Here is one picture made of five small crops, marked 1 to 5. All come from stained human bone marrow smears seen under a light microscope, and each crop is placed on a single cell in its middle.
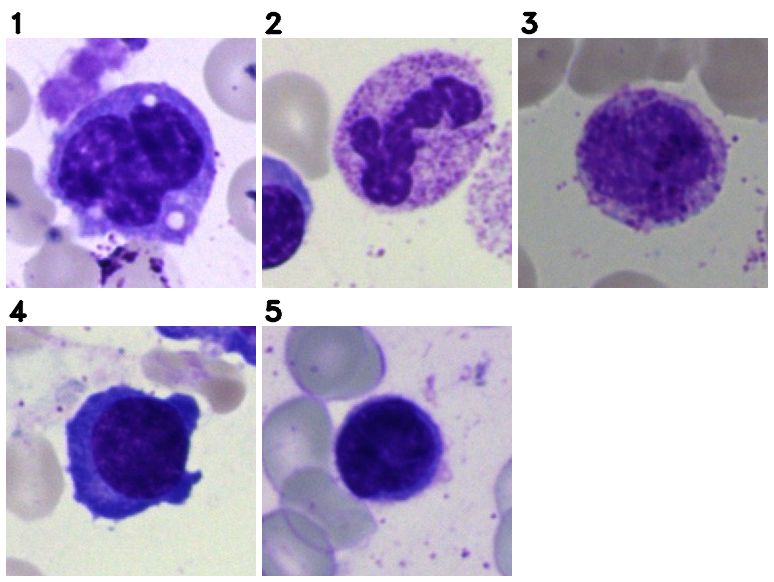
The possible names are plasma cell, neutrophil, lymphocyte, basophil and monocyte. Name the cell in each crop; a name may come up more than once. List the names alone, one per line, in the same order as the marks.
monocyte
neutrophil
basophil
plasma cell
lymphocyte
